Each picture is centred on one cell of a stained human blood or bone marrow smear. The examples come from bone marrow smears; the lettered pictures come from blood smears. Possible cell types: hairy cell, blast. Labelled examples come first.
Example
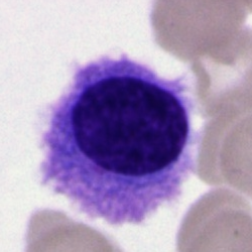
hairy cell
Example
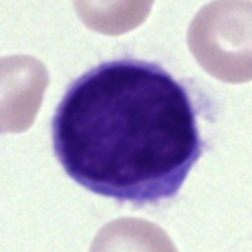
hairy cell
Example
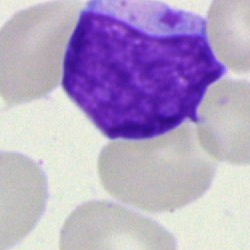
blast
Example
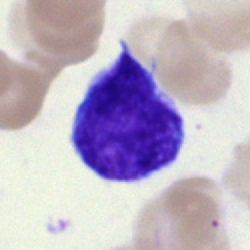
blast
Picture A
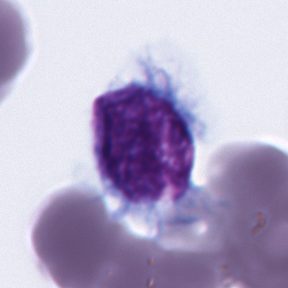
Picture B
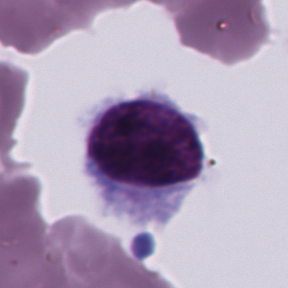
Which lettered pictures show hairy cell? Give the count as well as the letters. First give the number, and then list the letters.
Count: 2 (A, B)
